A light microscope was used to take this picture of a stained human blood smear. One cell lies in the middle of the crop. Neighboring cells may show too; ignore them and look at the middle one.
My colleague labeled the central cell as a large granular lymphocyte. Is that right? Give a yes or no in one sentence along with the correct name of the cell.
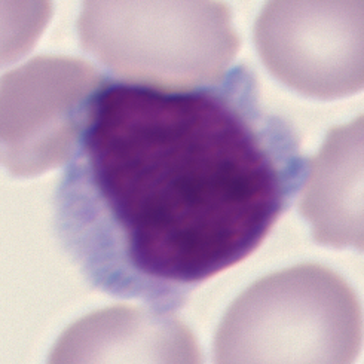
No, the cell at the centre of the crop is a typical lymphocyte and not a large granular lymphocyte.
